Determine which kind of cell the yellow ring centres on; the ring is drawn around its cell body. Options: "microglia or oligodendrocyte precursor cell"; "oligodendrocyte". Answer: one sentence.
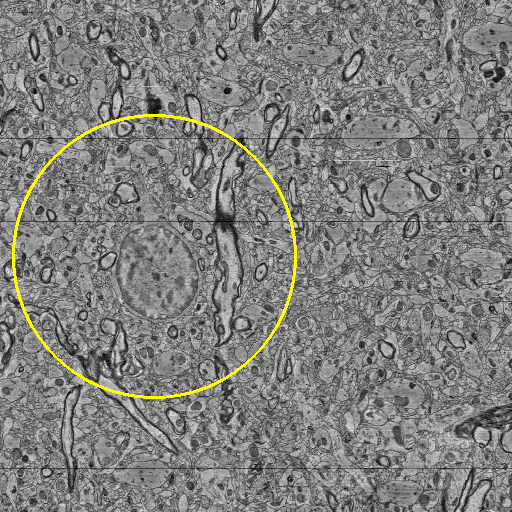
The ring centres on an oligodendrocyte.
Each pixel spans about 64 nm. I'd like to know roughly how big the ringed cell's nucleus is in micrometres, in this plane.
Approximately 6 by 5 micrometers in this plane.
